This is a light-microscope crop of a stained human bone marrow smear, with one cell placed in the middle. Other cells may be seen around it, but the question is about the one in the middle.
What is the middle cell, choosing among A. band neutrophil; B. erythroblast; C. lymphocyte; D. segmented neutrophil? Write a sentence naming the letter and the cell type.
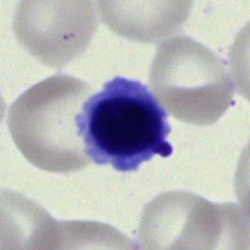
What sits in the middle of the crop is an erythroblast, and option B is correct.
